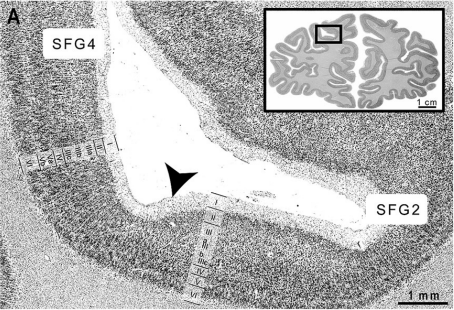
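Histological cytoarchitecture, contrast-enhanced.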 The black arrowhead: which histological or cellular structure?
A: The cortical borders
